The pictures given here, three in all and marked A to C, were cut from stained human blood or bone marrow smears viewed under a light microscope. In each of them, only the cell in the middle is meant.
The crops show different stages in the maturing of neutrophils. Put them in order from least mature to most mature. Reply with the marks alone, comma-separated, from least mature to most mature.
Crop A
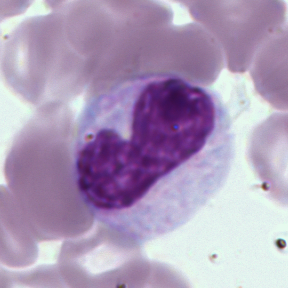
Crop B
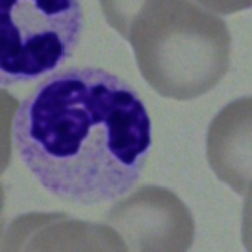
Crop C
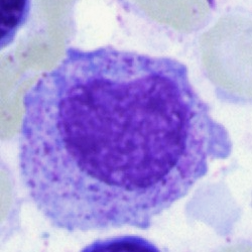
C, A, B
